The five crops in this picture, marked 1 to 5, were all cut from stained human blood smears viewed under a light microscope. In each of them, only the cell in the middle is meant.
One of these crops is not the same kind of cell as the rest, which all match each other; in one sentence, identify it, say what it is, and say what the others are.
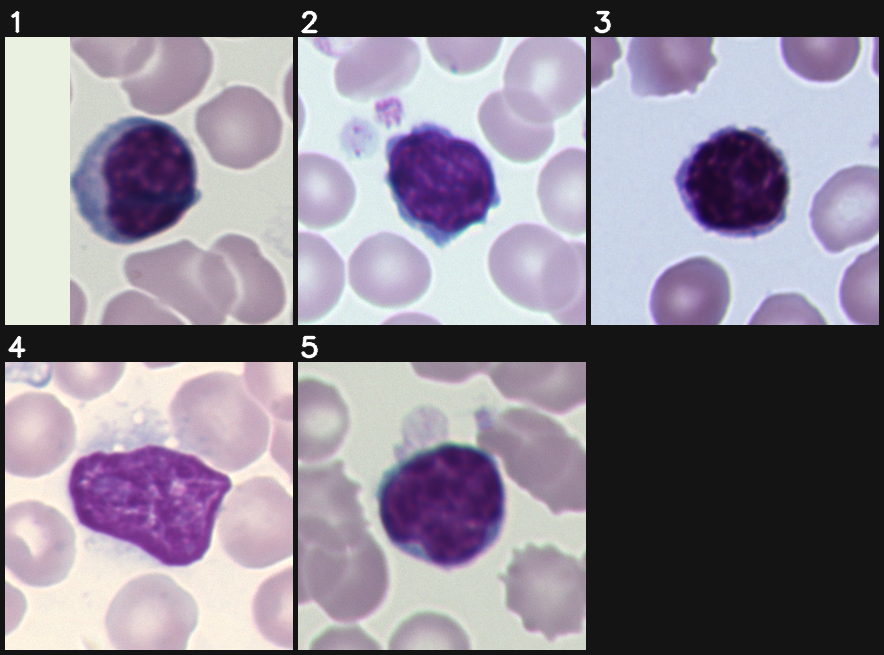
In crop 4 the central cell is a blast, whereas the other crops all contain lymphocytes.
